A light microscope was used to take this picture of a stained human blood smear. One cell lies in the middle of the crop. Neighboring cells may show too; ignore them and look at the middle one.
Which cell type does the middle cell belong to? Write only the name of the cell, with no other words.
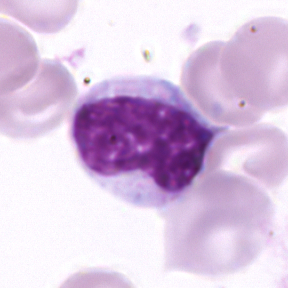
metamyelocyte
